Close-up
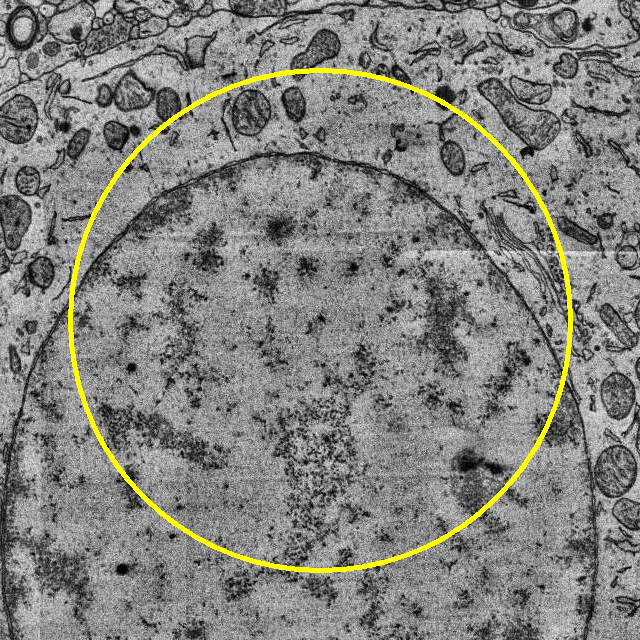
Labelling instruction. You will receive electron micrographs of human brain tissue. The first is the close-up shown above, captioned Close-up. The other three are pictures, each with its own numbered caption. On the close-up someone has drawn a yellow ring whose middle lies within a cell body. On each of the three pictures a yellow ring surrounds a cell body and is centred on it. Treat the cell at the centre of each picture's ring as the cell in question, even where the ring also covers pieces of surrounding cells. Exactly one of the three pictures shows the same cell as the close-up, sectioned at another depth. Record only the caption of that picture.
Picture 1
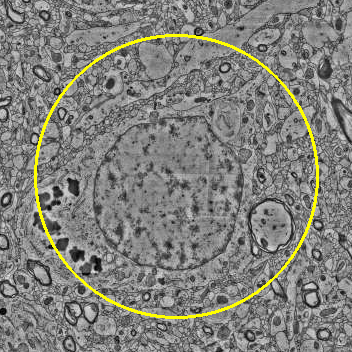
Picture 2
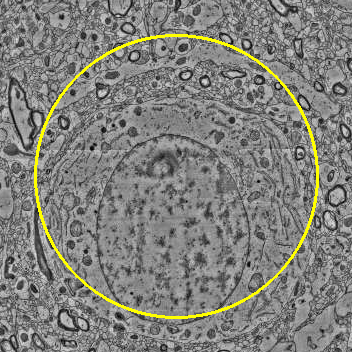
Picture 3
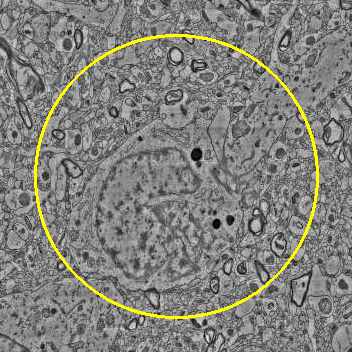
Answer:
Picture 2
